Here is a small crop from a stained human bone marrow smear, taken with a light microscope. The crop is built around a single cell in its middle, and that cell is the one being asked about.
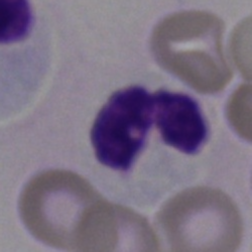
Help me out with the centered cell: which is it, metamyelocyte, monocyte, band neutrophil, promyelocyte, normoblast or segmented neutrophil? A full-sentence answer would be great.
The middle of this crop is occupied by a segmented neutrophil.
